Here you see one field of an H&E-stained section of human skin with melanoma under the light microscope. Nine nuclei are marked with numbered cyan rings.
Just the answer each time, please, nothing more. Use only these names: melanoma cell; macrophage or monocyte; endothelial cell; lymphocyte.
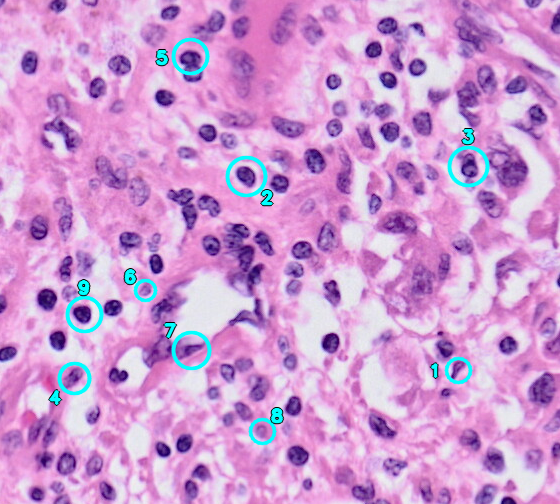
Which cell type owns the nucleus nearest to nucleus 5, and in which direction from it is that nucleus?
a lymphocyte; below nucleus 5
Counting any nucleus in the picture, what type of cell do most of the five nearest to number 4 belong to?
endothelial cell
